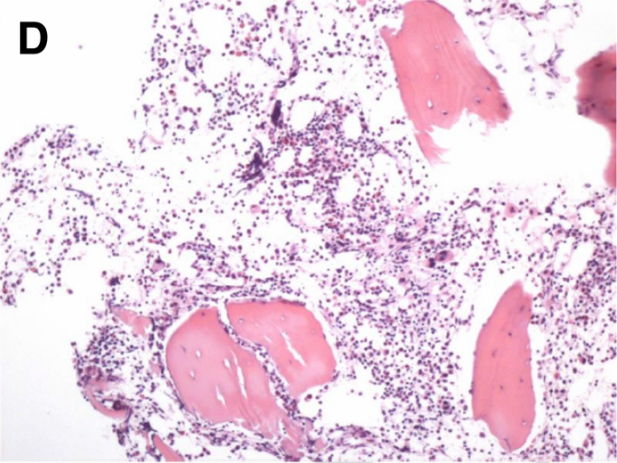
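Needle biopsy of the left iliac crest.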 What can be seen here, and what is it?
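This section shows bone marrow between pink-staining bone trabeculae, whose small lacunae hold flattened osteocyte nuclei. The intertrabecular spaces contain a mixed population of blood-forming cells with round to irregular dark nuclei, interspersed with clear, round fat vacuoles. The cellularity is patchy, with looser fatty areas alternating with more cellular ones.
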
